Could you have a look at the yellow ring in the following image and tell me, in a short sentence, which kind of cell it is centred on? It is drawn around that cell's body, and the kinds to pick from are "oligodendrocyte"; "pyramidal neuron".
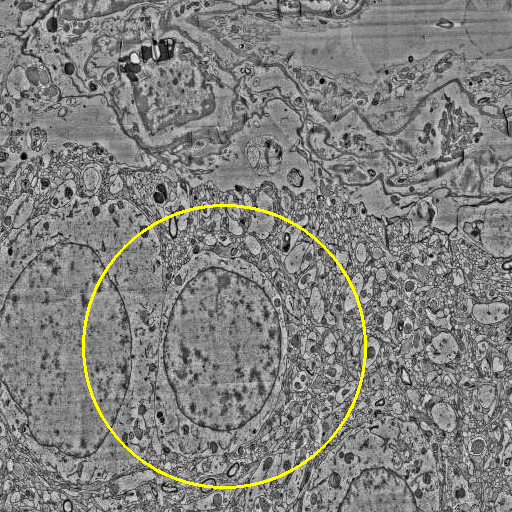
The ring is centred on the body of a pyramidal neuron.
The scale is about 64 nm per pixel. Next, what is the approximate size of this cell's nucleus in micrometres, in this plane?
About 10 by 8 micrometers, in this plane.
